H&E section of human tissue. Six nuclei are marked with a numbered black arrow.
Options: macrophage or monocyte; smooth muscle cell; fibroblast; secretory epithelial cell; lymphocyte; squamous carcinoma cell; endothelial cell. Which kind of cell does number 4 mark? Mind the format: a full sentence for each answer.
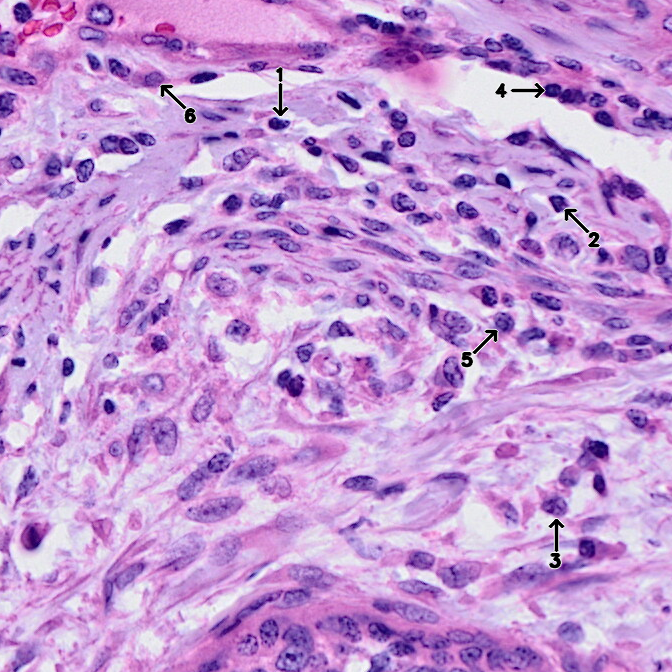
The marked nucleus 4 is that of a lymphocyte.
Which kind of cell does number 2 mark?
Here, the cell given the number 2 is a lymphocyte.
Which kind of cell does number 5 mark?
Cell 5 should be recorded as a lymphocyte.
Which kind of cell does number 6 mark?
The cell identified by number 6 is a macrophage or monocyte.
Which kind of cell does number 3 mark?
The marked cell bearing number 3 is a macrophage or monocyte.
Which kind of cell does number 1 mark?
Here, the cell given the number 1 is a lymphocyte.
